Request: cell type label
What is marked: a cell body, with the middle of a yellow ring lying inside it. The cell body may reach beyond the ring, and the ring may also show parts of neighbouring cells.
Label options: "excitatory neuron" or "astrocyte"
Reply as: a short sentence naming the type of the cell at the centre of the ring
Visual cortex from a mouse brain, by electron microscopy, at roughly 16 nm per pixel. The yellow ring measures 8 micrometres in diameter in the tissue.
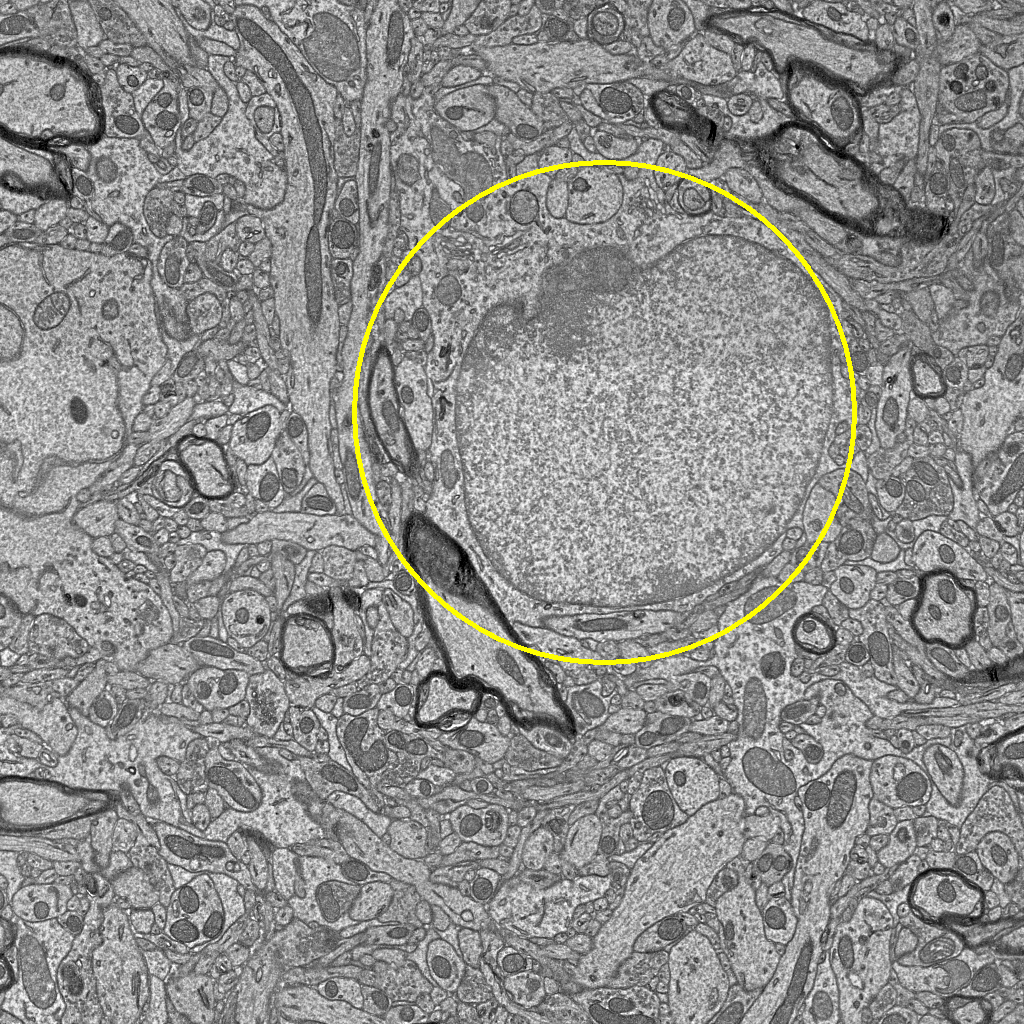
The marked cell body is that of an astrocyte.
